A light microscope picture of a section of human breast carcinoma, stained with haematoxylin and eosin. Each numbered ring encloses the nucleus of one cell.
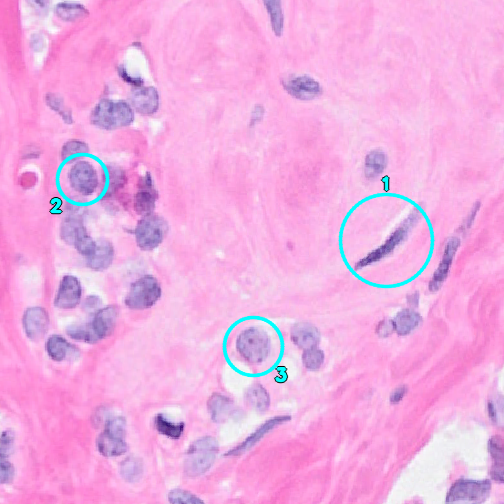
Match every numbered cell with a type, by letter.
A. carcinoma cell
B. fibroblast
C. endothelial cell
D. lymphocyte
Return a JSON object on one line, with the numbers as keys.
{"1": "B", "2": "A", "3": "A"}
